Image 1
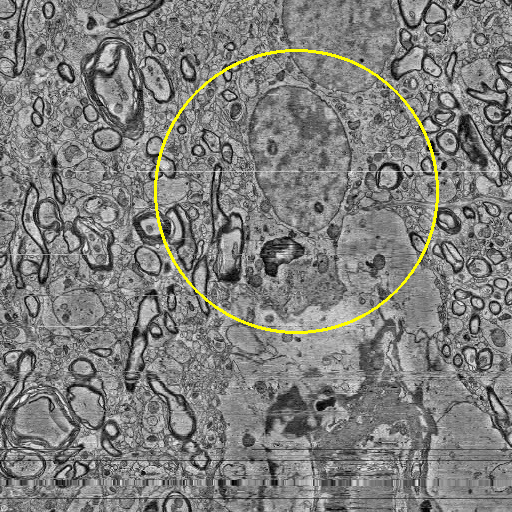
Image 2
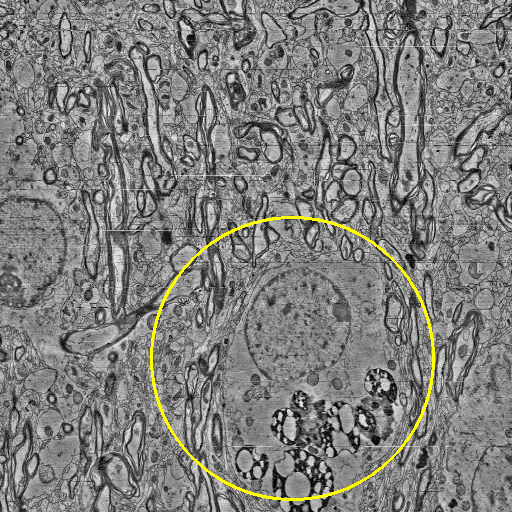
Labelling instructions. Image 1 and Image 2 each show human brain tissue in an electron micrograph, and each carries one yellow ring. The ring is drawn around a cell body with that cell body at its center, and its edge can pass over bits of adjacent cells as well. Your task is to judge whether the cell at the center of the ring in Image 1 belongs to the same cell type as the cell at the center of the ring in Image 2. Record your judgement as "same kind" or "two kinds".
two kinds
